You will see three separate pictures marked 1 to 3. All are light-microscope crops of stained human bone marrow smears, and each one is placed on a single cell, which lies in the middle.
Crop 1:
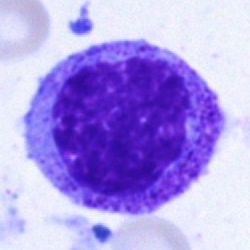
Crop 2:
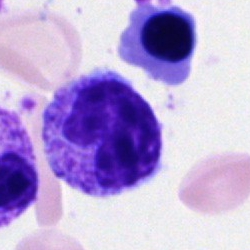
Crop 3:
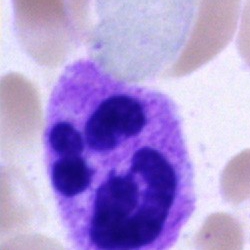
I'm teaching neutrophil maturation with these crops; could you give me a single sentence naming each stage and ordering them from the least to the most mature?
From the least mature to the most mature, the order reads crop 1 (a promyelocyte), crop 2 (a metamyelocyte) and crop 3 (a segmented neutrophil).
